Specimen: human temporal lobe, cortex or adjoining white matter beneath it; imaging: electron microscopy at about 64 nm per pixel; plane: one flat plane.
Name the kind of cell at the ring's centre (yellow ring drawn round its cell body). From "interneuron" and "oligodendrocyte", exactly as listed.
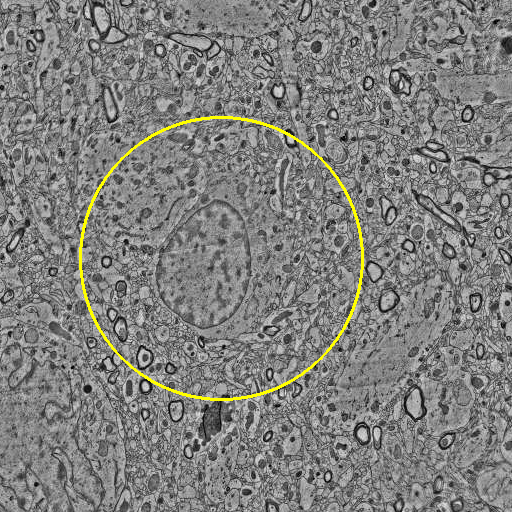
oligodendrocyte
